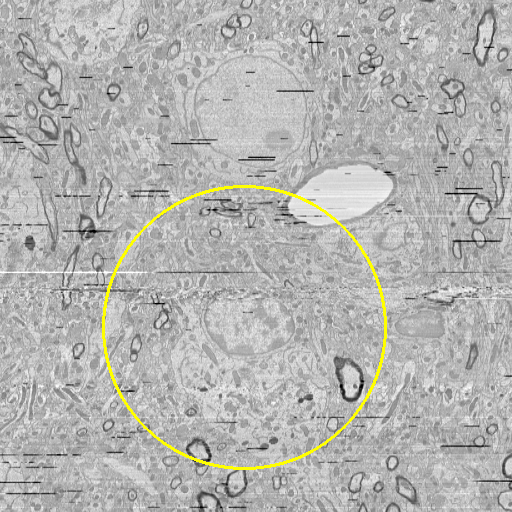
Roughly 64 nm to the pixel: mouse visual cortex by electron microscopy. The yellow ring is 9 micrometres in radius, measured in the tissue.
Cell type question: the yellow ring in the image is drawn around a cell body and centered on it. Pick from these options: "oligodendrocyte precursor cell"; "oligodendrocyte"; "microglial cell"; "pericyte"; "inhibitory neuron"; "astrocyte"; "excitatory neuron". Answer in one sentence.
The ringed cell at the center is an oligodendrocyte.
